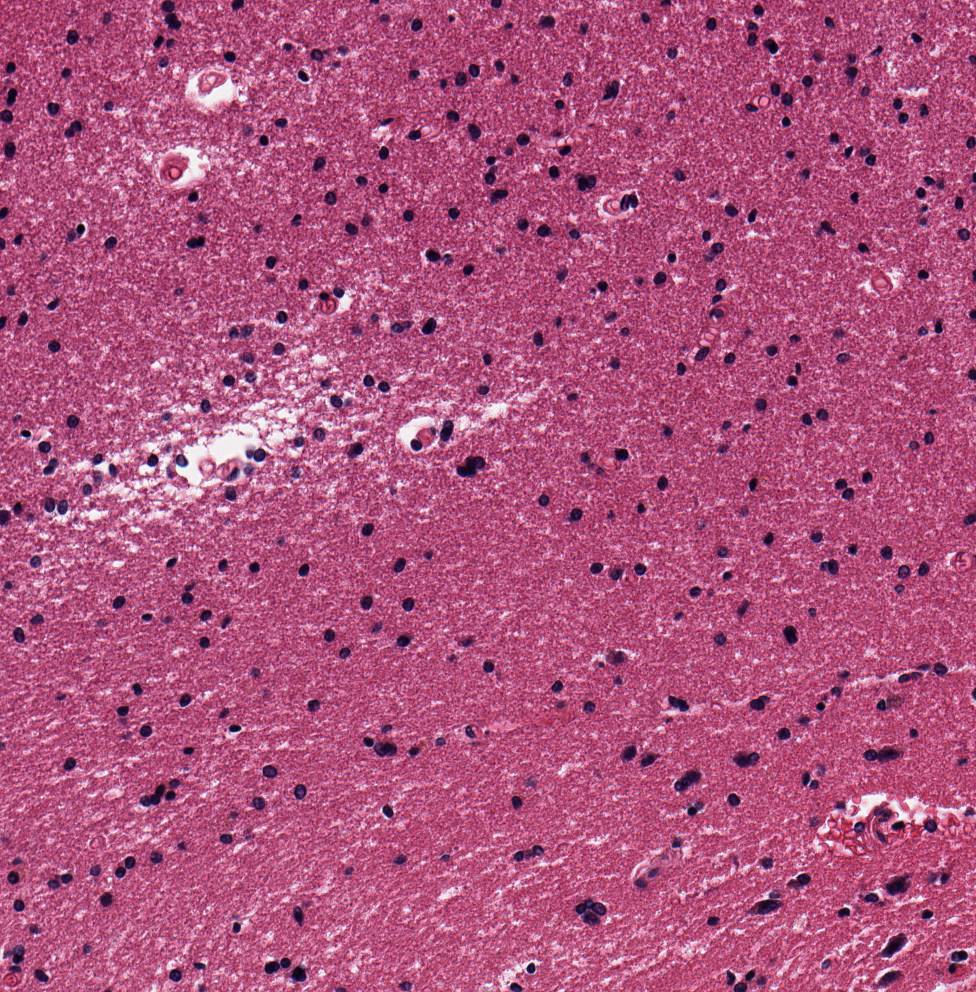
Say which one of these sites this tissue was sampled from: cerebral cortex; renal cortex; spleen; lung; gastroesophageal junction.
cerebral cortex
